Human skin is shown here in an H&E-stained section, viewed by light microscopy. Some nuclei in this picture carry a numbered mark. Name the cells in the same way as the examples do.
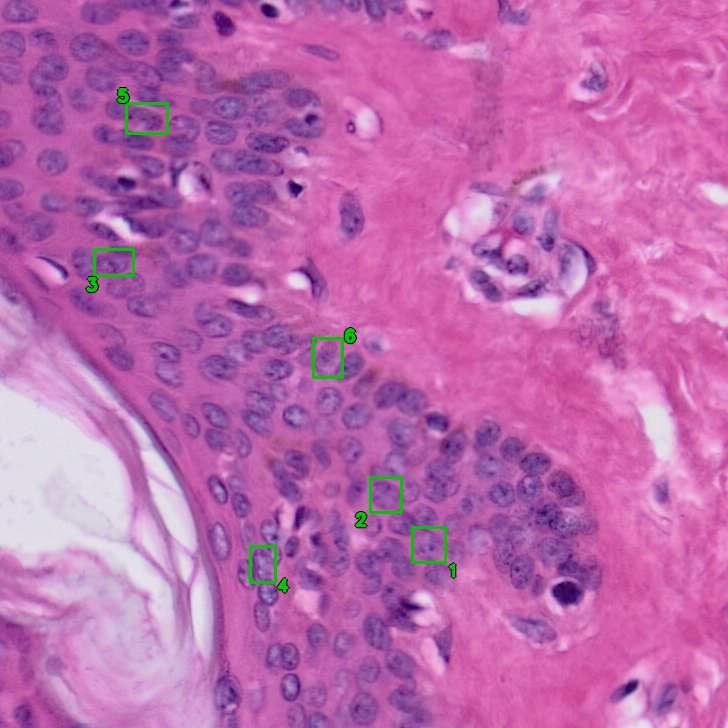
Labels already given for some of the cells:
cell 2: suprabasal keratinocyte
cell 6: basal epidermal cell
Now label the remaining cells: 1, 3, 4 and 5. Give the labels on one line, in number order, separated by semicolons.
basal epidermal cell; suprabasal keratinocyte; suprabasal keratinocyte; basal epidermal cell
